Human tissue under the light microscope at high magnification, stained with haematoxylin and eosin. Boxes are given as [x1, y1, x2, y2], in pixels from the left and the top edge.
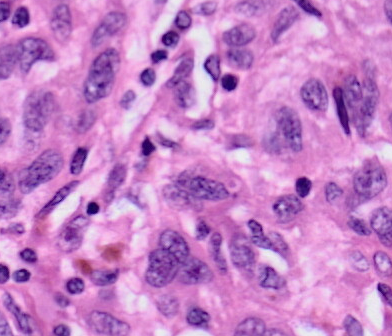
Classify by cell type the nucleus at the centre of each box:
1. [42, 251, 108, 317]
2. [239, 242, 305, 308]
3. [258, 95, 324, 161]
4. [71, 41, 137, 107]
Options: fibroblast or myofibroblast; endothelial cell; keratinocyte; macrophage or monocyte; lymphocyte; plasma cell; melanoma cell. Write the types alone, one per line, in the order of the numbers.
lymphocyte
melanoma cell
melanoma cell
melanoma cell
